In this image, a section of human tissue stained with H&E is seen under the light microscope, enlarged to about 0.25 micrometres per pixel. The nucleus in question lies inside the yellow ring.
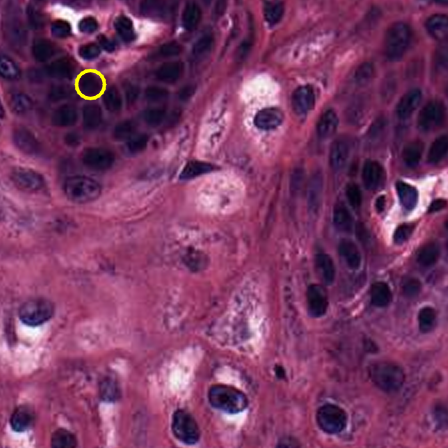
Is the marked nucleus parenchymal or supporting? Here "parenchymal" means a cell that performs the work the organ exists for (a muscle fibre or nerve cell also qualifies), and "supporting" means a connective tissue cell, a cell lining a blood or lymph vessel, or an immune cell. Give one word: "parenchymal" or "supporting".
parenchymal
